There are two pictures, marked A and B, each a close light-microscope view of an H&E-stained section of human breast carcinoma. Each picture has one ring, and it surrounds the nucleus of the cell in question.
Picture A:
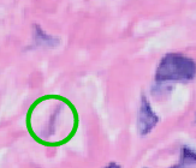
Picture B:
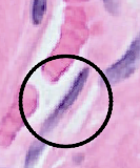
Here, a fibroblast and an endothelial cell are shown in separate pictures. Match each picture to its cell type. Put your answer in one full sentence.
Picture A shows a fibroblast and picture B shows an endothelial cell.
